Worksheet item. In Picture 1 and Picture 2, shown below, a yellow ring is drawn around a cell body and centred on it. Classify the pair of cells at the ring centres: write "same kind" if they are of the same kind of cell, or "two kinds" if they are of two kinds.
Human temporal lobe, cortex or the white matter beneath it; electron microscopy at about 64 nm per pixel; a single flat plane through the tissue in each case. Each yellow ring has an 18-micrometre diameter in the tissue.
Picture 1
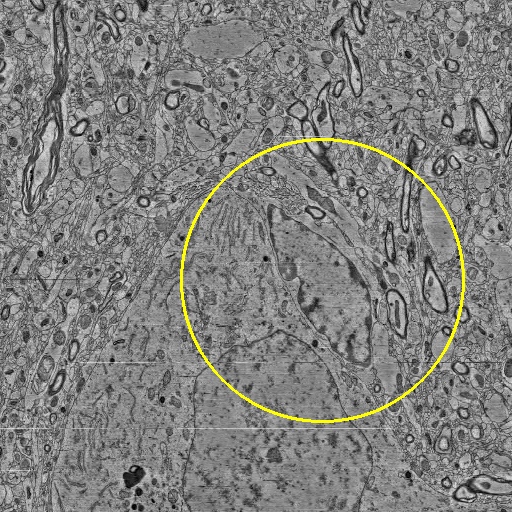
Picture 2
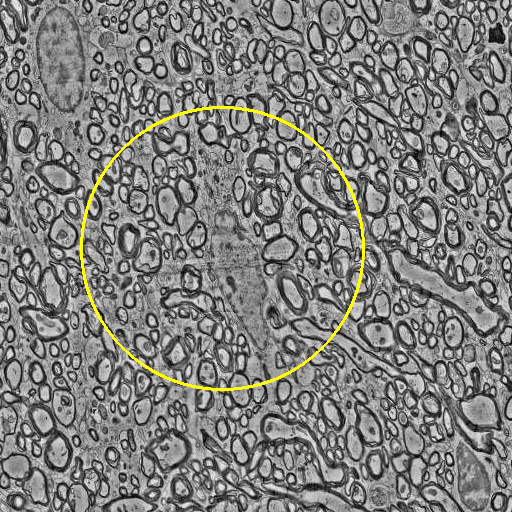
two kinds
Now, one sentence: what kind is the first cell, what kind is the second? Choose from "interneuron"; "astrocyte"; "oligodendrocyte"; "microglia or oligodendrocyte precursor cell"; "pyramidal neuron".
The first picture has a microglial cell or oligodendrocyte precursor cell at its ring centre, and the second has an astrocyte.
